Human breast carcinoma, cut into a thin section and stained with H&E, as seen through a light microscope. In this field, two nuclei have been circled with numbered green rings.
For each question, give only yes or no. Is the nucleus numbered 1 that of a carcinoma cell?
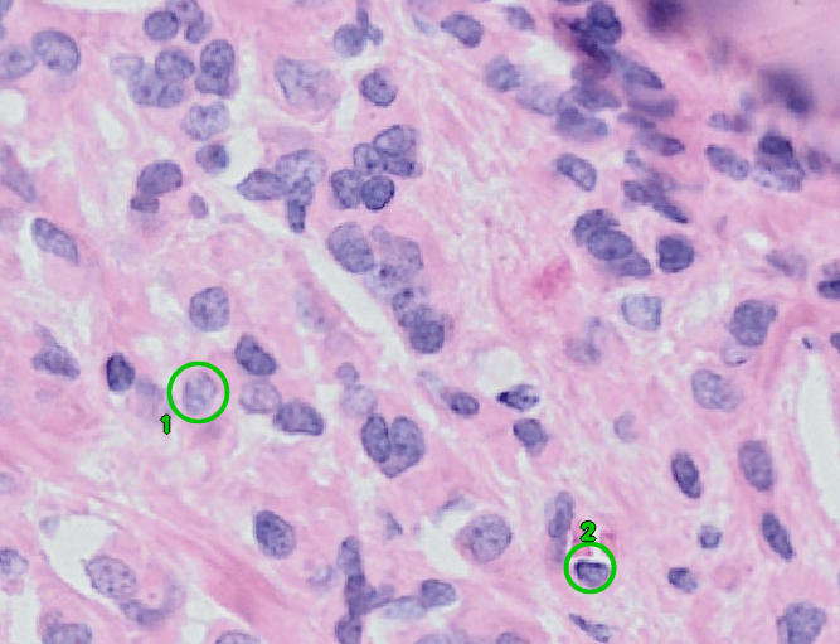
yes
